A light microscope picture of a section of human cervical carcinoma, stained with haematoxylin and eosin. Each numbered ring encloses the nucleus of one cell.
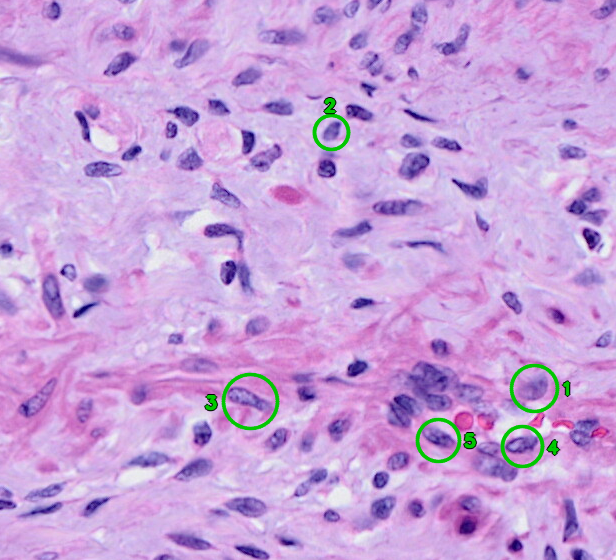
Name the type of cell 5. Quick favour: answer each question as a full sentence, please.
The cell that goes by number 5 is an endothelial cell.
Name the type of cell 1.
The correct answer for cell 1 is an endothelial cell.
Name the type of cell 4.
Among the marked nuclei, number 4 belongs to an endothelial cell.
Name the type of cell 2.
Identified as a fibroblast is the cell bearing the number 2.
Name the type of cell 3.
Cell 3 should be recorded as a smooth muscle cell.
